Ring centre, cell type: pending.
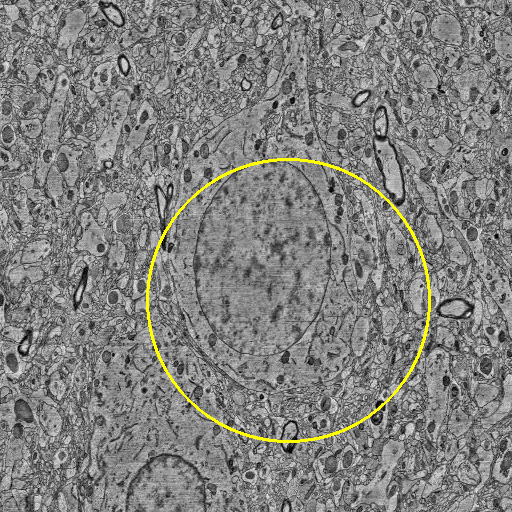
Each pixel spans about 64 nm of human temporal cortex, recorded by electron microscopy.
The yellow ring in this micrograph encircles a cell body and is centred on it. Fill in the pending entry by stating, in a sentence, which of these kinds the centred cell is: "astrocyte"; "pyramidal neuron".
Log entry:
The centred cell is recorded as a pyramidal neuron.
